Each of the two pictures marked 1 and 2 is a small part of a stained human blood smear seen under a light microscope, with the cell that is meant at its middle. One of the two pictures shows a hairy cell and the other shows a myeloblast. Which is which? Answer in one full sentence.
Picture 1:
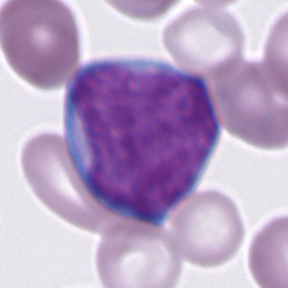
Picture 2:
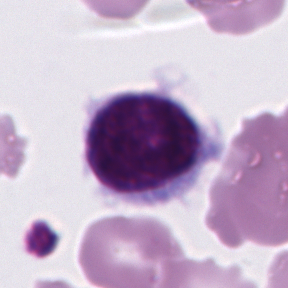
Picture 2 shows a hairy cell, while picture 1 shows a myeloblast.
